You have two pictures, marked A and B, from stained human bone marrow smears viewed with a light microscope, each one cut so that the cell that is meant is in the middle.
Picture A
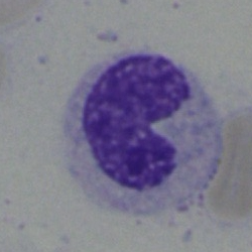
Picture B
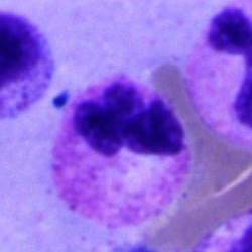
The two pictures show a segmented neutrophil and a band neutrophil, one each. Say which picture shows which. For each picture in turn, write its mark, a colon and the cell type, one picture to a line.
A: band neutrophil
B: segmented neutrophil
